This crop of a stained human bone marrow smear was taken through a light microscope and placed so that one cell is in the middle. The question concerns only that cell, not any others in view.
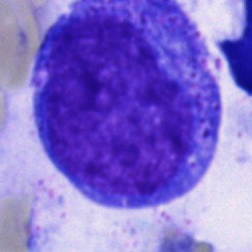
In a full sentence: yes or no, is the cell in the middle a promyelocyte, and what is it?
Yes, the cell shown centrally is a promyelocyte.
